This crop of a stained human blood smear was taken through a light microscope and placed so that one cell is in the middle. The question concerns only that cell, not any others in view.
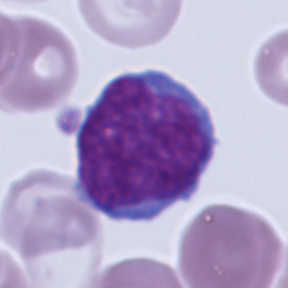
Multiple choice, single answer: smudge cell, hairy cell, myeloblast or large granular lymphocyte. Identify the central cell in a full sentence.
The crop centres on a single cell, and that cell is a myeloblast.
